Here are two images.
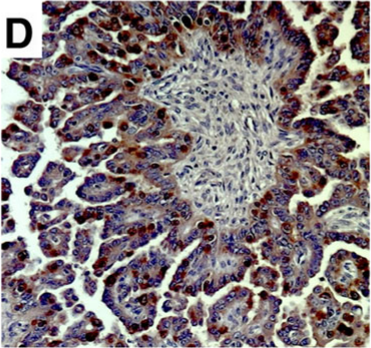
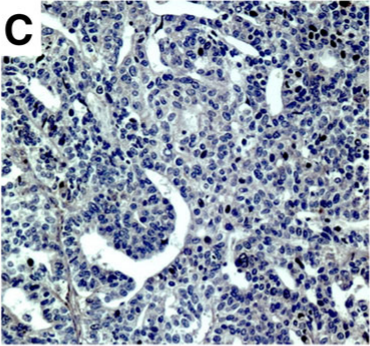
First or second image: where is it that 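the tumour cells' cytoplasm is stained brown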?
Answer: The first image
